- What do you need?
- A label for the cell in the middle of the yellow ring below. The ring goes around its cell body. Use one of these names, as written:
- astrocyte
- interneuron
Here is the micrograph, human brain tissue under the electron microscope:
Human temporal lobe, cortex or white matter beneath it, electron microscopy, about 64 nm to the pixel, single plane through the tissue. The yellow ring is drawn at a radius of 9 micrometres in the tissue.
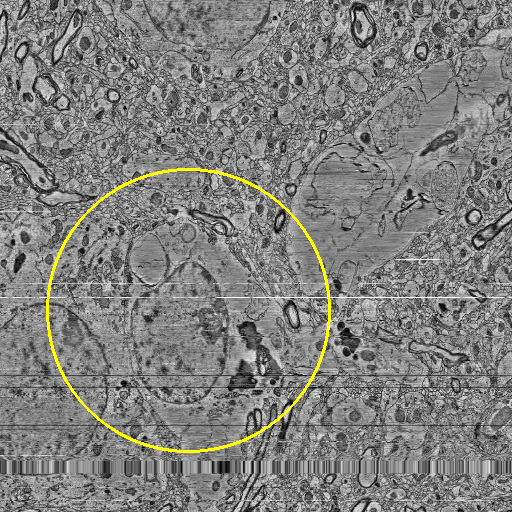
astrocyte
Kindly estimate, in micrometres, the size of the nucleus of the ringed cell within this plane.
Approximately 9 by 6 micrometers in this plane.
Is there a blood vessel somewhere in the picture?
Yes, a vessel appears in the picture.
